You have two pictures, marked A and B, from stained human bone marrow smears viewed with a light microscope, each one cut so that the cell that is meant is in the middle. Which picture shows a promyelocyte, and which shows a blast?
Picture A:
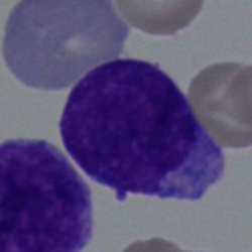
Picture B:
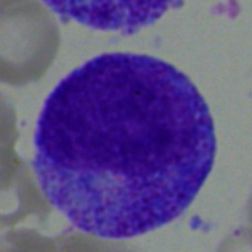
A: blast
B: promyelocyte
